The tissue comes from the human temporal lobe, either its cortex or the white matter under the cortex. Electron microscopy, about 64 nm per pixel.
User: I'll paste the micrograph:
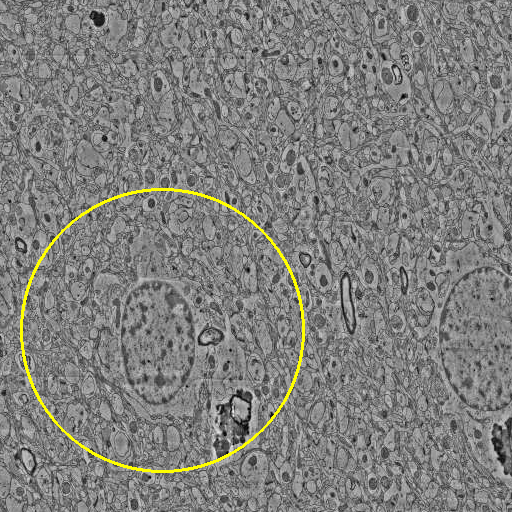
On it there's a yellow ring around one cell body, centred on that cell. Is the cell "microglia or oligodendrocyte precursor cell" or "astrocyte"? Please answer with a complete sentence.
The cell ringed in yellow is an astrocyte.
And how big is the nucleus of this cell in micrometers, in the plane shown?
Clearly longer than it is wide in this plane, the nucleus measures roughly 8 by 5 micrometres.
